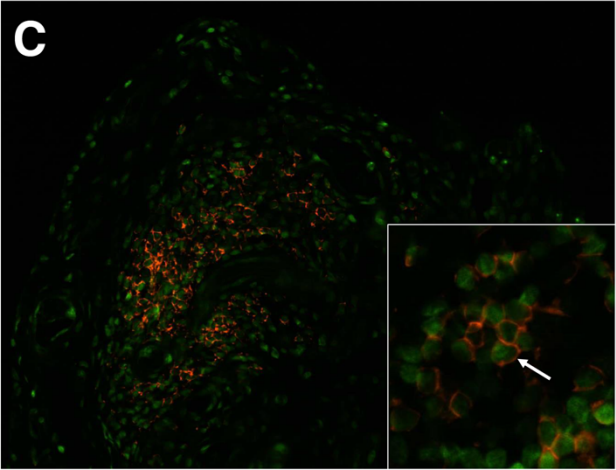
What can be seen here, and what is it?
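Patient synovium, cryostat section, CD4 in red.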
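In the aggregate many cells show red staining outlining their surface. The magnified inset shows tightly packed round cells, several with a green nucleus encircled by a thin red rim, so that both colours mark the same cell. Outside the aggregate the tissue shows only scattered green nuclei without red.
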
